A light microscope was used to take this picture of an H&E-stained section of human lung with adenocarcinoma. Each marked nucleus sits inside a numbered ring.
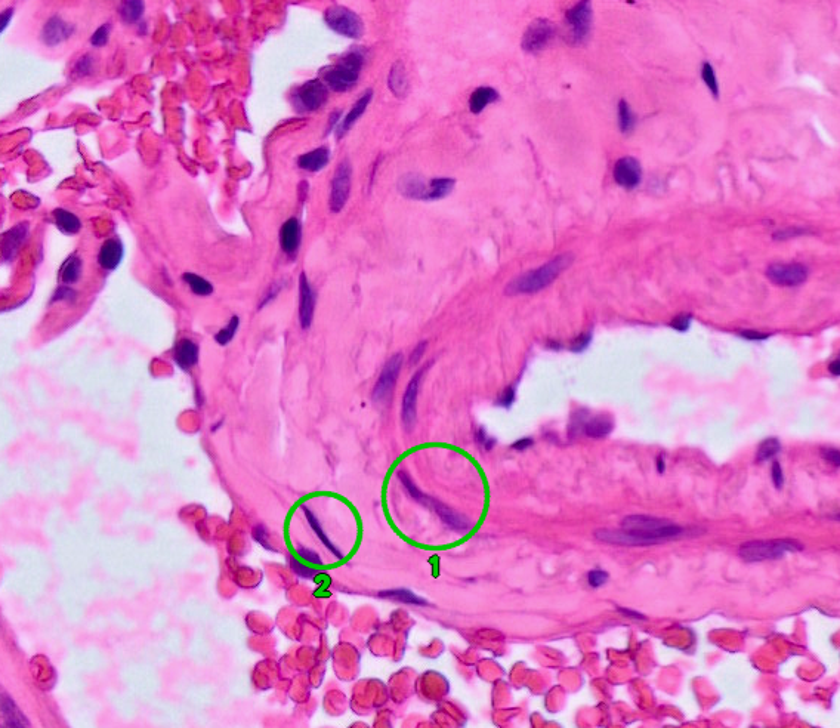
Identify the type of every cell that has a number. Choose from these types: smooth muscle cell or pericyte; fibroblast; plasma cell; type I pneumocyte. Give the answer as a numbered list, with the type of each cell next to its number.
1. smooth muscle cell or pericyte
2. fibroblast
